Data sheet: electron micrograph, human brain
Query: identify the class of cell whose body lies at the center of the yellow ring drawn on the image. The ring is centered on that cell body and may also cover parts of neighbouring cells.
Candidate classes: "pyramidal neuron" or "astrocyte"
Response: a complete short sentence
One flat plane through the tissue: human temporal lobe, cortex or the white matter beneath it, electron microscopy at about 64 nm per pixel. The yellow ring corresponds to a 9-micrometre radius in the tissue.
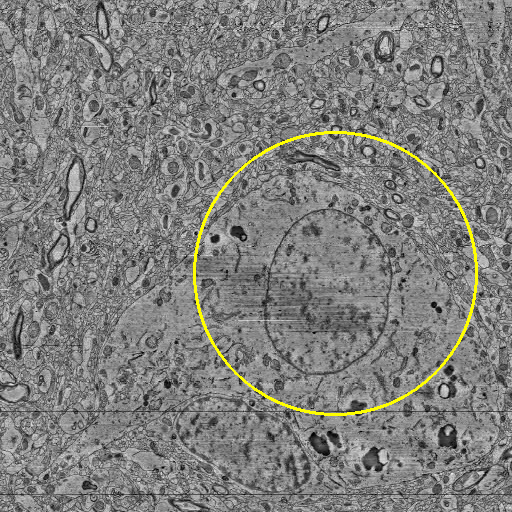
At the center of the ring lies a pyramidal neuron.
